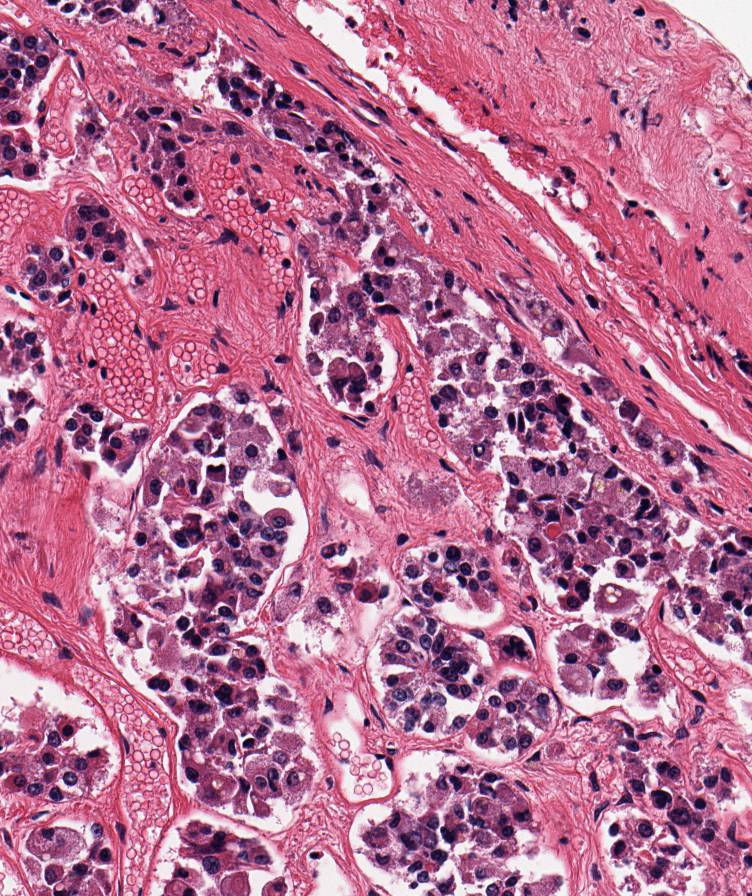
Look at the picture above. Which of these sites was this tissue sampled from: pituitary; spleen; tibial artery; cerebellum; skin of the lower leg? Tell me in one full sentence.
The slide carries a tissue sample from the pituitary.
